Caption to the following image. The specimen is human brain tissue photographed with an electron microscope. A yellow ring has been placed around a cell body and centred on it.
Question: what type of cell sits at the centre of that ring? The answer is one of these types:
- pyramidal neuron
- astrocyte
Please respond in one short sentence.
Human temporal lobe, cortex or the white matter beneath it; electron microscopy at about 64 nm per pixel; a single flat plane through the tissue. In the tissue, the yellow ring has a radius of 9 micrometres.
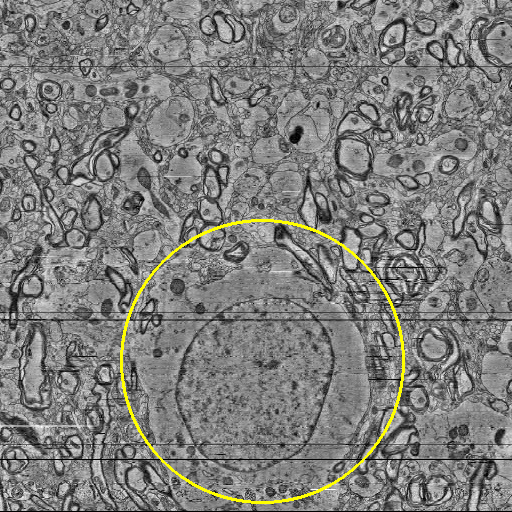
The ring surrounds the cell body of an astrocyte.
